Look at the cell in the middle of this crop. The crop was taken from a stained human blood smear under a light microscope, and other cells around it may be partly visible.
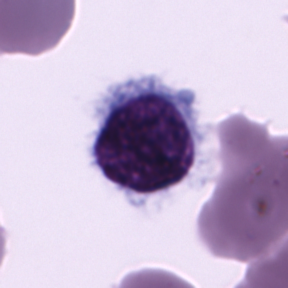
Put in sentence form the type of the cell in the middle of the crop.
For this crop, the cell in the middle is a hairy cell.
